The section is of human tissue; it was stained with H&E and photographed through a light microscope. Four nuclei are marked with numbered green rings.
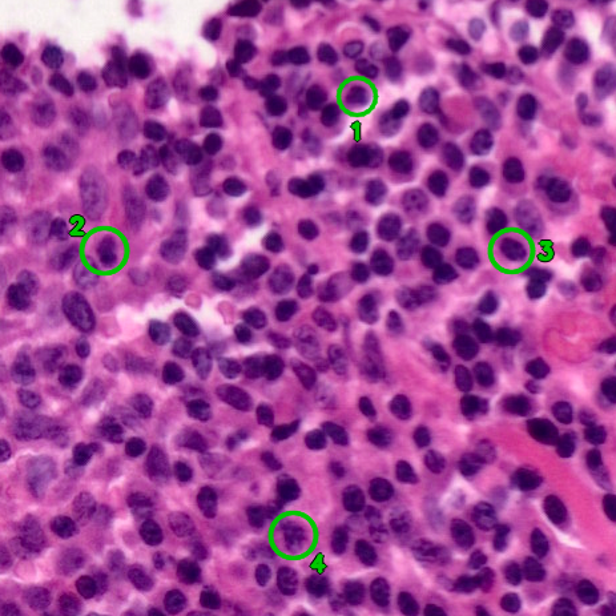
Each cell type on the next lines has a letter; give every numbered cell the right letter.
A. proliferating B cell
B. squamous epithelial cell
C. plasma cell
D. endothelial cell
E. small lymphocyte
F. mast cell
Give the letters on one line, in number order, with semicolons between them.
C; B; C; C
